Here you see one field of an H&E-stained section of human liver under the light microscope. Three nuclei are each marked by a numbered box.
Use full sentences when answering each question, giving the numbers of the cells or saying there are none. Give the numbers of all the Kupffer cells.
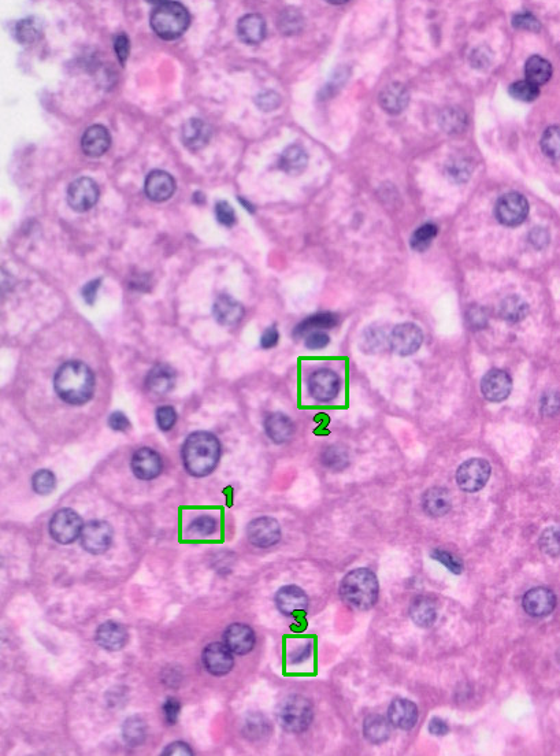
The cells that have been numbered 1 and 3 are Kupffer cells.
